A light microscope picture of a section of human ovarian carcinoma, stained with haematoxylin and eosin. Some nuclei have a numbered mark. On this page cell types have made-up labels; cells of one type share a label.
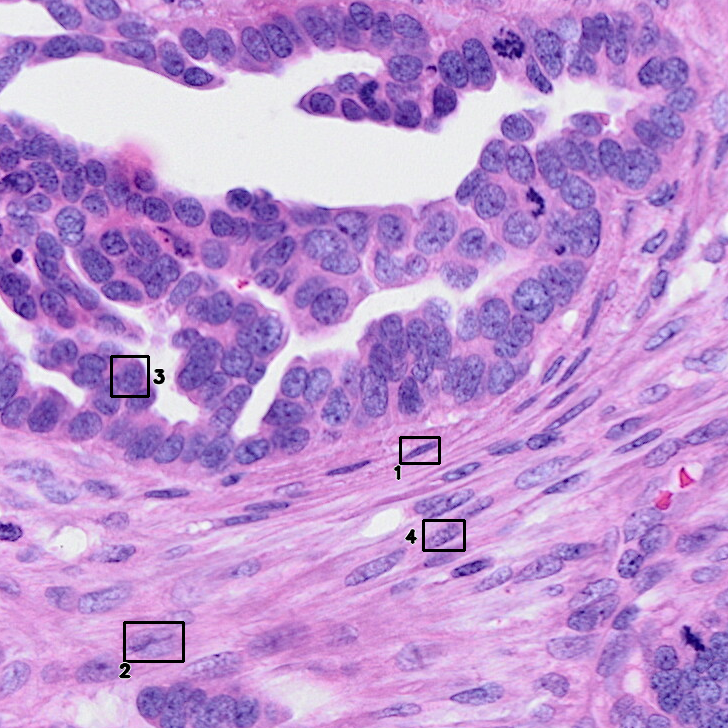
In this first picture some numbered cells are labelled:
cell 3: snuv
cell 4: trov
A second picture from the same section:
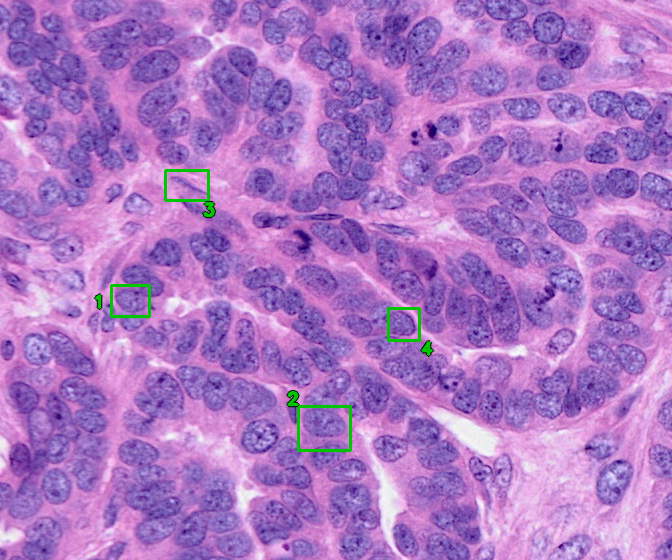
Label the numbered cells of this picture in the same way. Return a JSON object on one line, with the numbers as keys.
{"1": "snuv", "2": "snuv", "3": "trov", "4": "snuv"}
